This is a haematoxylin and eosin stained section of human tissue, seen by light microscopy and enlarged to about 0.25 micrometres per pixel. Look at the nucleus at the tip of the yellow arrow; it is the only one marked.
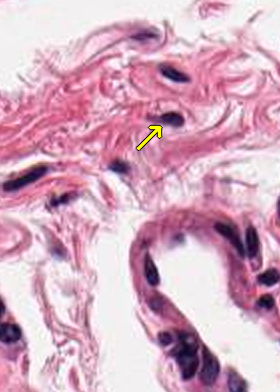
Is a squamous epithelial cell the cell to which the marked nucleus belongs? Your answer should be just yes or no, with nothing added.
no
